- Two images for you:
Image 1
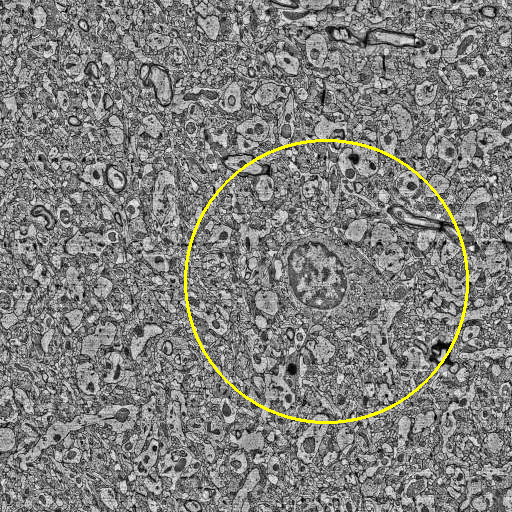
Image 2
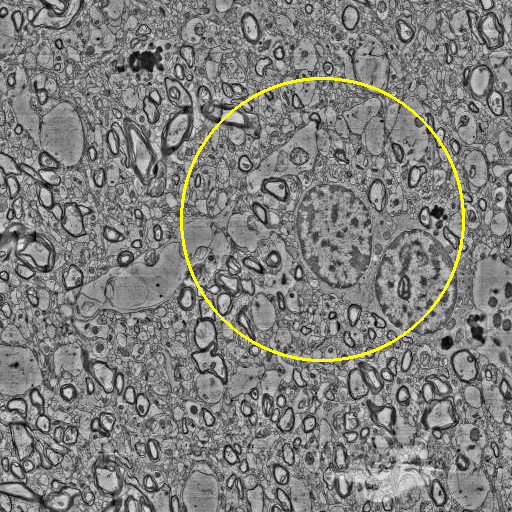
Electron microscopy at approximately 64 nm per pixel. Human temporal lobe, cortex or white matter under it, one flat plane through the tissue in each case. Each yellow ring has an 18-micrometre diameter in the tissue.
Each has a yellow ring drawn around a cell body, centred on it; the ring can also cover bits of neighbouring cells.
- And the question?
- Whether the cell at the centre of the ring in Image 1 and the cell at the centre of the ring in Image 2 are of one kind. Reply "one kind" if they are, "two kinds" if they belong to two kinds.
one kind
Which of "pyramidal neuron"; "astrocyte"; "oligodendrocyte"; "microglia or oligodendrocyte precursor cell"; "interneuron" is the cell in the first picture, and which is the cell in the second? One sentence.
The cell at the ring centre is an oligodendrocyte in both pictures.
